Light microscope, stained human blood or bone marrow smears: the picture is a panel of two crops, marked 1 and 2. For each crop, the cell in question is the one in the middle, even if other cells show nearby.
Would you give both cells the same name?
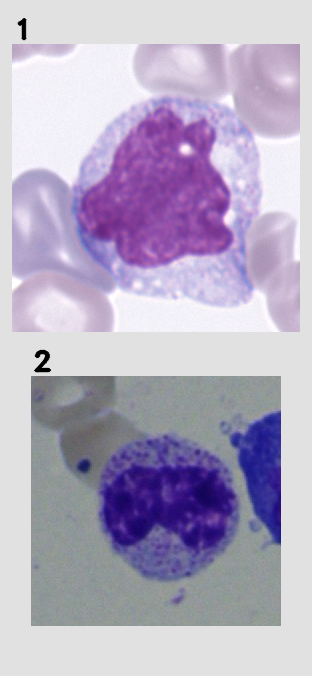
no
